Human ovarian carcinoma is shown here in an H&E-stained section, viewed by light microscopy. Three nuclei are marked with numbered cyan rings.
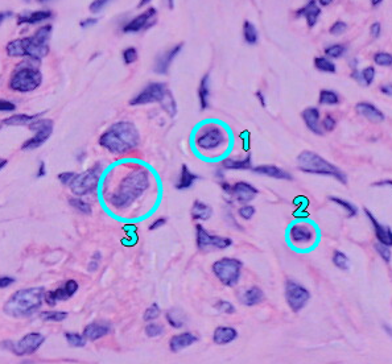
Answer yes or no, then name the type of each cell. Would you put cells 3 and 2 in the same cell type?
No, cell 2 is a smooth muscle cell, and cell 3 is an endothelial cell.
